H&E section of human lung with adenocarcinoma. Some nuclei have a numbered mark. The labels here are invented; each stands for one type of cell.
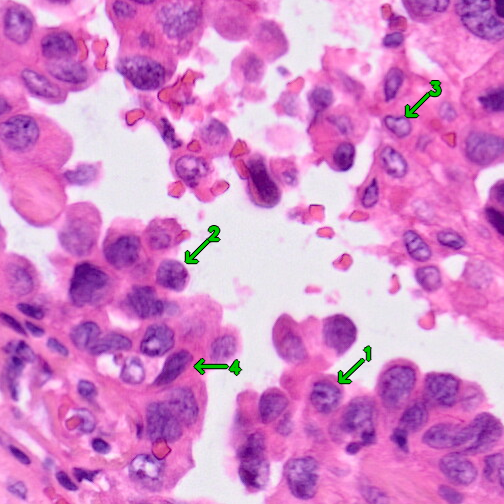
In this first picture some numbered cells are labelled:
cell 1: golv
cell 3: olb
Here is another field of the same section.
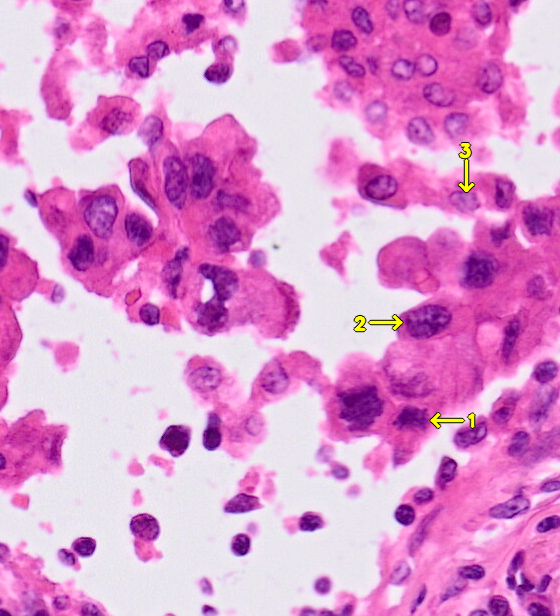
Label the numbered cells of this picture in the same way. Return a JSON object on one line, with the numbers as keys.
{"1": "golv", "2": "golv", "3": "olb"}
